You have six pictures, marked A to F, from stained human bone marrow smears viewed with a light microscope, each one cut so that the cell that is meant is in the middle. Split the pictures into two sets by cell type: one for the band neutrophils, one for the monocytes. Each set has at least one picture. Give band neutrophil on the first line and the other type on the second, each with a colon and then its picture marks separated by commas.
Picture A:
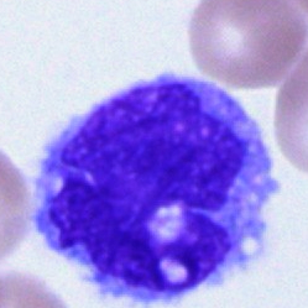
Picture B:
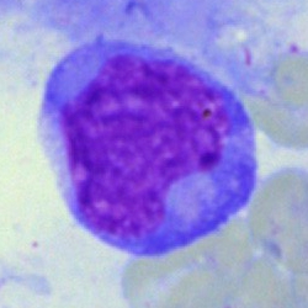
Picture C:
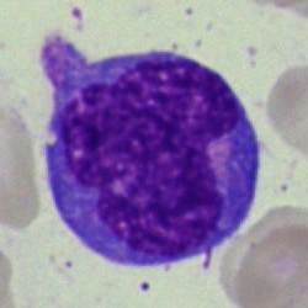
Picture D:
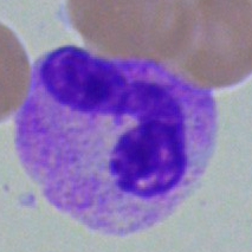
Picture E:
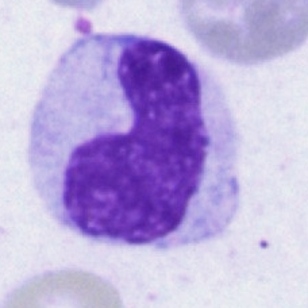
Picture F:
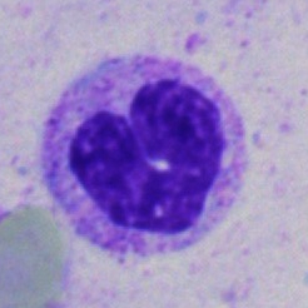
band neutrophil: D, E, F
monocyte: A, B, C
